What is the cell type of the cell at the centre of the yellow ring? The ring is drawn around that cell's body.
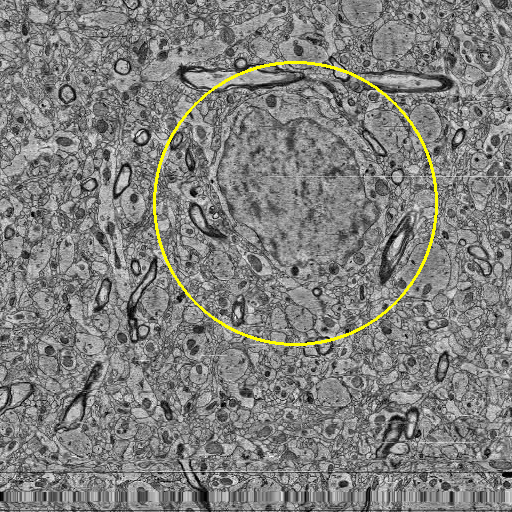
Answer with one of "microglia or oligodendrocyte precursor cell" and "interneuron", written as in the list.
interneuron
